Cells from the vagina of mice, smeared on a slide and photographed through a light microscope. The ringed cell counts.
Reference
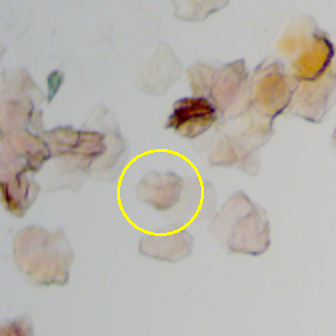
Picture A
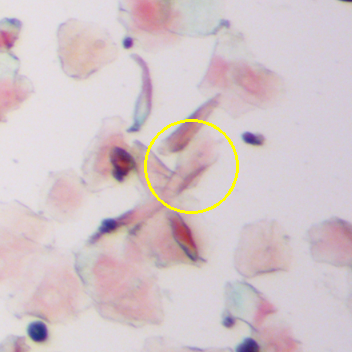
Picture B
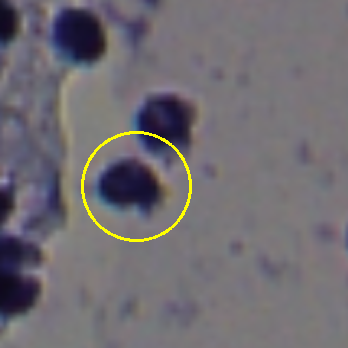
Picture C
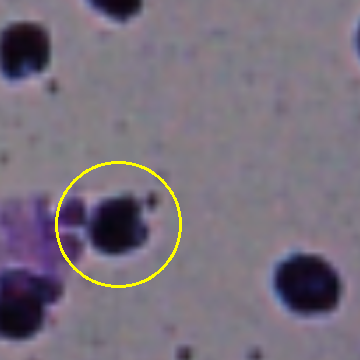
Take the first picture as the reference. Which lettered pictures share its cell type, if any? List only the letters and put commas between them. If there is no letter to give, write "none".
A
